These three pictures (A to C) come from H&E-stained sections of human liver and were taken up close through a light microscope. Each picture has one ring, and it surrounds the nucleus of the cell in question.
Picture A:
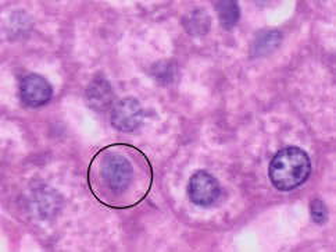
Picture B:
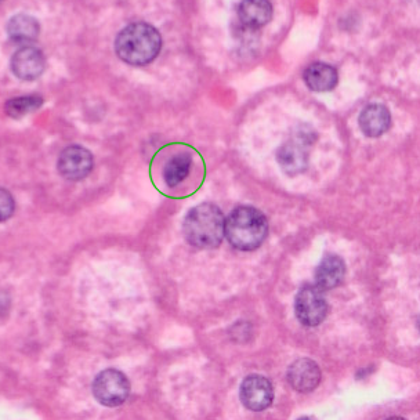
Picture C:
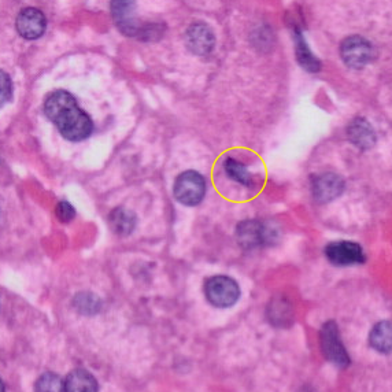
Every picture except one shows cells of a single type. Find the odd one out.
A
